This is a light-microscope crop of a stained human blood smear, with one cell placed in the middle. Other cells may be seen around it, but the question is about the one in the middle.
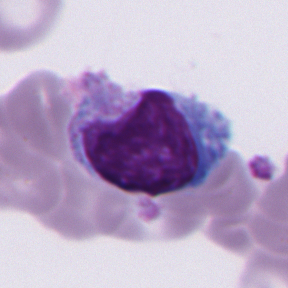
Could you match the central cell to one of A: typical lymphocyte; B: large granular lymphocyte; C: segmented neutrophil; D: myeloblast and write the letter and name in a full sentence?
Since the middle cell is a typical lymphocyte, option A is the right one.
